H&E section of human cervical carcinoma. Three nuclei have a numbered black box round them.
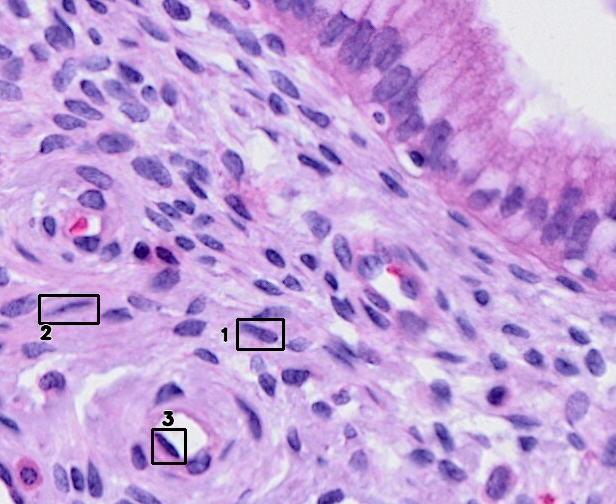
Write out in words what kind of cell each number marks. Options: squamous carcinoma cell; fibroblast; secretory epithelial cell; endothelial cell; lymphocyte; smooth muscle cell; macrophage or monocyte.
Cells 1 and 2 are fibroblasts. Cell 3 is an endothelial cell.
